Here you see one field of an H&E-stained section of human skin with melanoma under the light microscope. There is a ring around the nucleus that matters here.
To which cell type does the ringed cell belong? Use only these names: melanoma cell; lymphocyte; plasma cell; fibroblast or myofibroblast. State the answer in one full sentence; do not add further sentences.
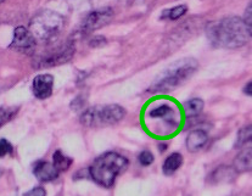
Right, so the ringed cell is a lymphocyte, to answer that.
